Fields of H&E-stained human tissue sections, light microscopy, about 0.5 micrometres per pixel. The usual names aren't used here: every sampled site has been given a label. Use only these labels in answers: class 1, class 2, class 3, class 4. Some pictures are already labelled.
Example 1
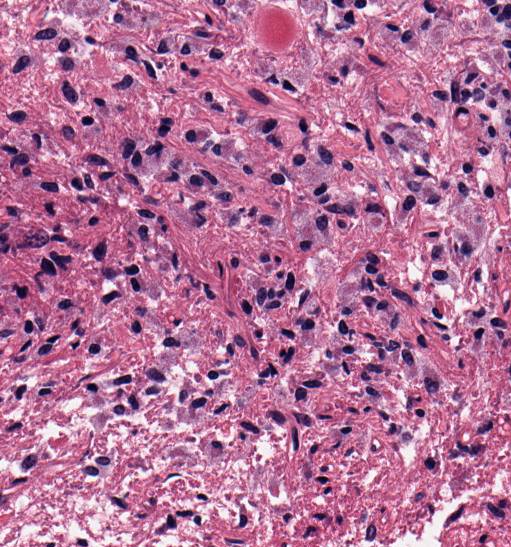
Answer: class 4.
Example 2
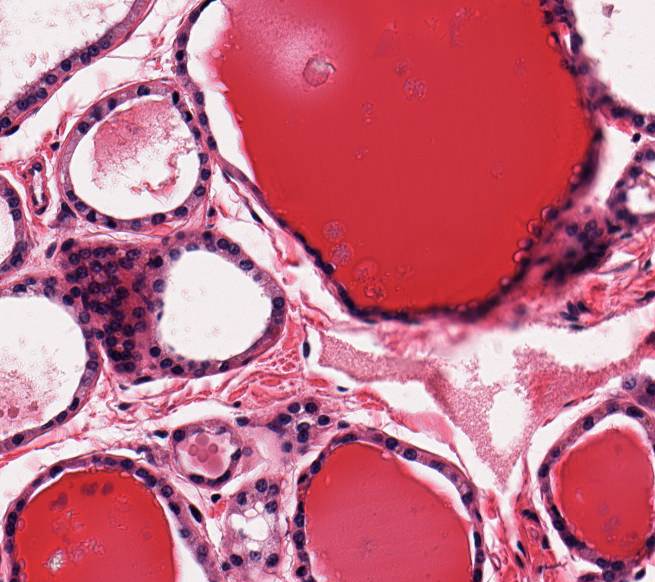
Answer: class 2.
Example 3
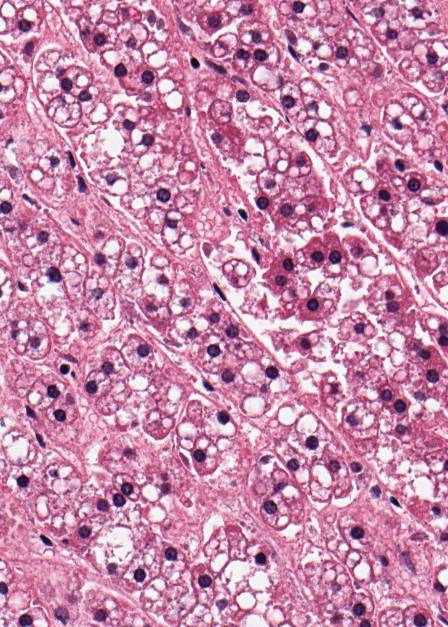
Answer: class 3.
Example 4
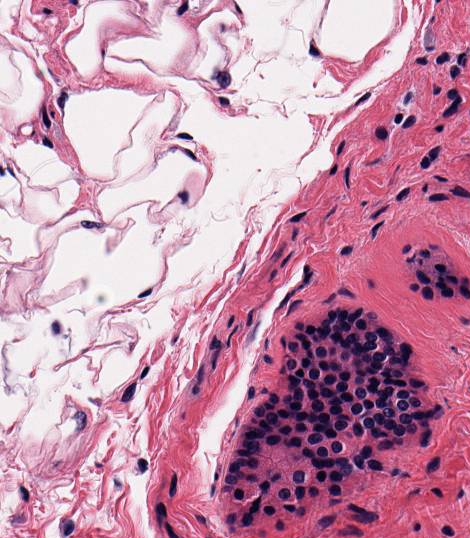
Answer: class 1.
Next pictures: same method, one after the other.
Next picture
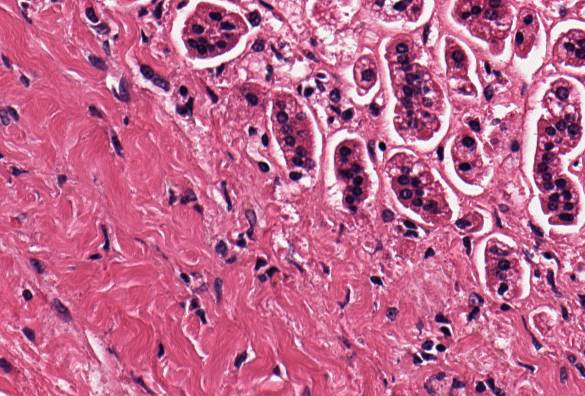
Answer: class 3.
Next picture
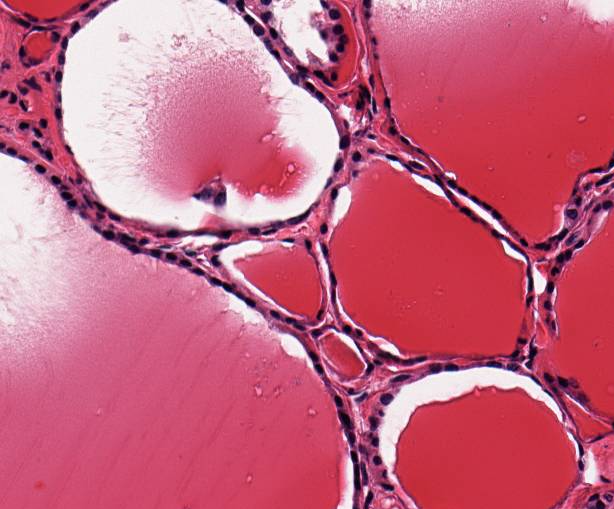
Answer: class 2.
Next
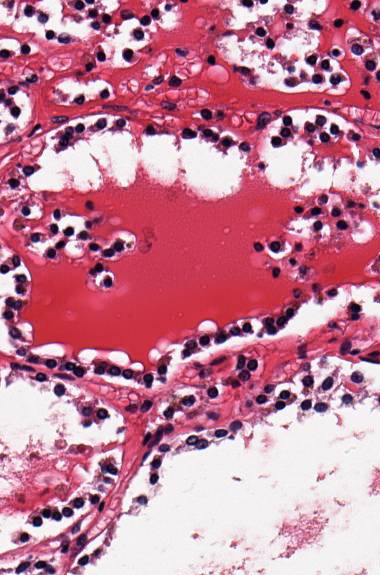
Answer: class 2.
